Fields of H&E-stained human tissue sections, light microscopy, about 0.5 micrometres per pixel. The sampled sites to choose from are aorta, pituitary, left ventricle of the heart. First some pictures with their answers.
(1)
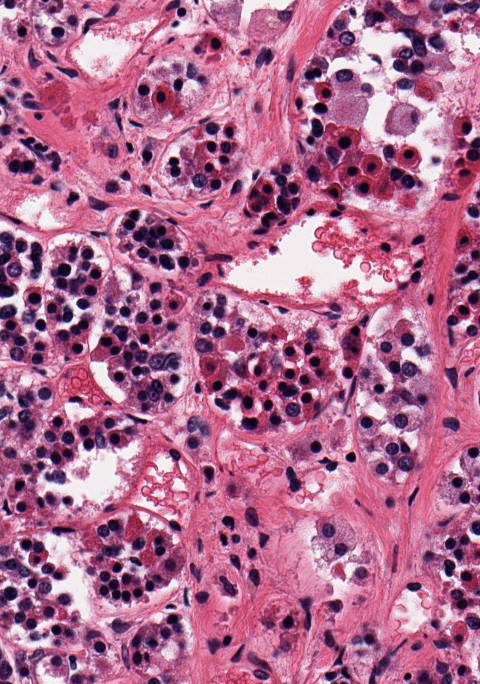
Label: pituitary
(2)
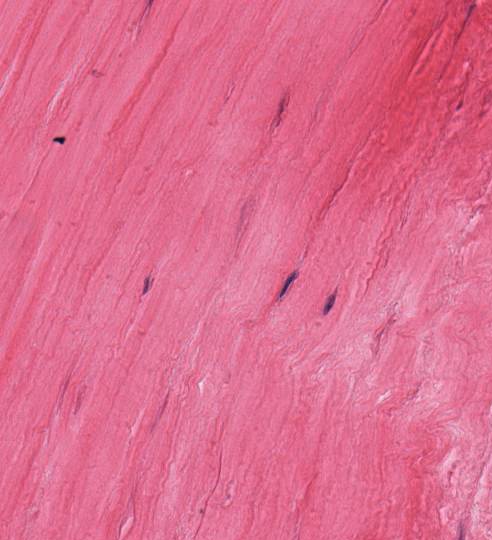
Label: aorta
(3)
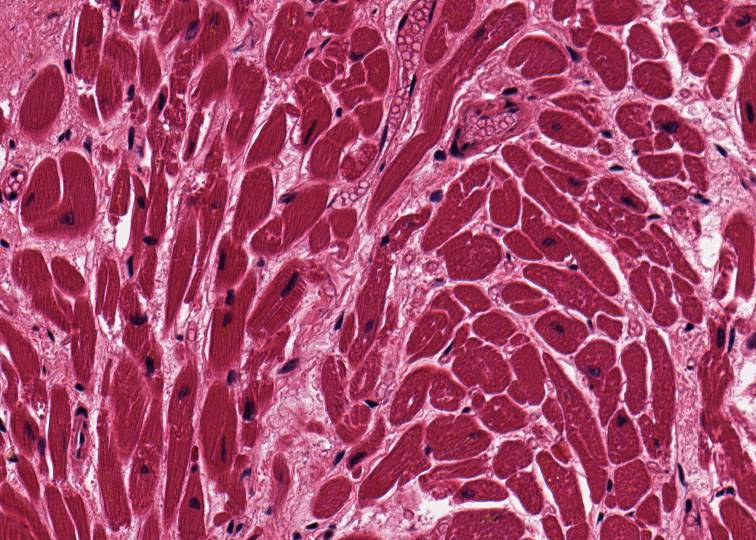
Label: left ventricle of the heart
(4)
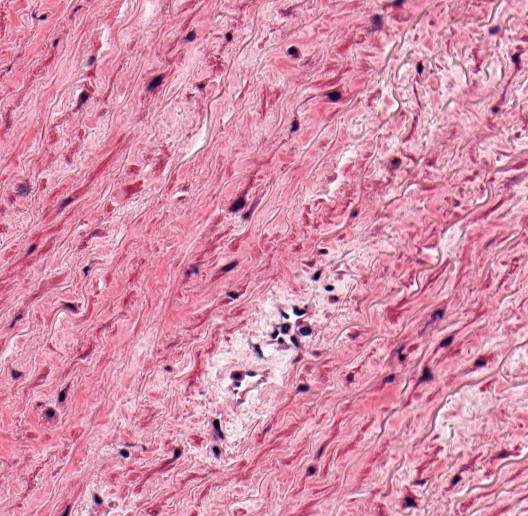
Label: aorta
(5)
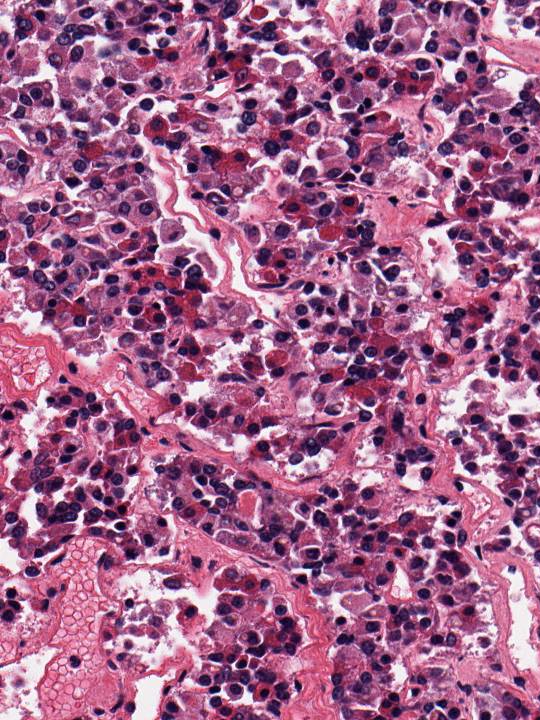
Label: pituitary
